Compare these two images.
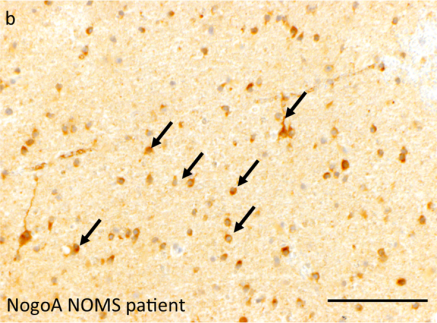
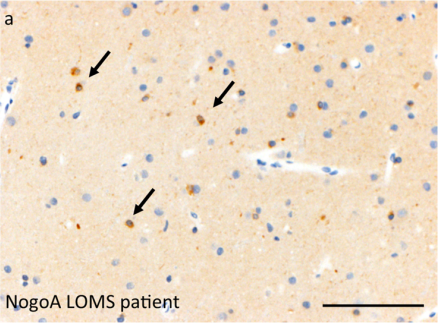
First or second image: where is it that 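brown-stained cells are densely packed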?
the first image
